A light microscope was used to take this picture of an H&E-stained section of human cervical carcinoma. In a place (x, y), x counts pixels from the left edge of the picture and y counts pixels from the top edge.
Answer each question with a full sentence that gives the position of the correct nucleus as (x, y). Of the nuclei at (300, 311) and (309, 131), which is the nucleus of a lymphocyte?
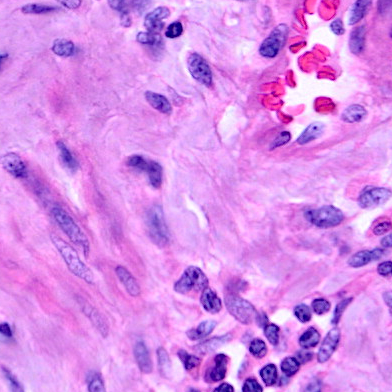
The pair contains one nucleus of a lymphocyte, namely the one at (300, 311).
